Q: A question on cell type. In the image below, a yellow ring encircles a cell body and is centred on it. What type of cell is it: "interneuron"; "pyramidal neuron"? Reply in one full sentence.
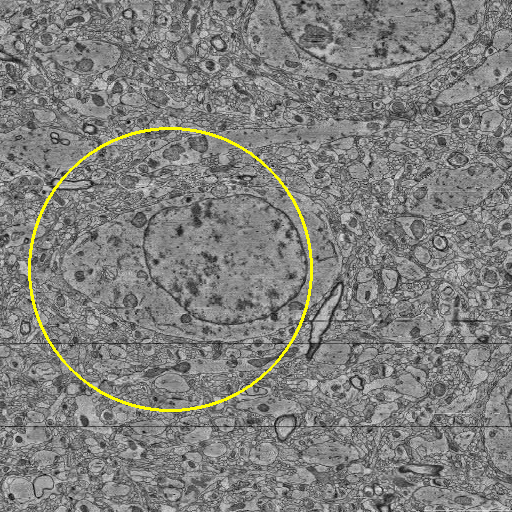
It is a pyramidal neuron whose cell body sits at the centre of the yellow ring in the image.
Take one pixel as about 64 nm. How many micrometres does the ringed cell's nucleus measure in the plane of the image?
The nucleus appears roughly 11 by 9 micrometres in this plane.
